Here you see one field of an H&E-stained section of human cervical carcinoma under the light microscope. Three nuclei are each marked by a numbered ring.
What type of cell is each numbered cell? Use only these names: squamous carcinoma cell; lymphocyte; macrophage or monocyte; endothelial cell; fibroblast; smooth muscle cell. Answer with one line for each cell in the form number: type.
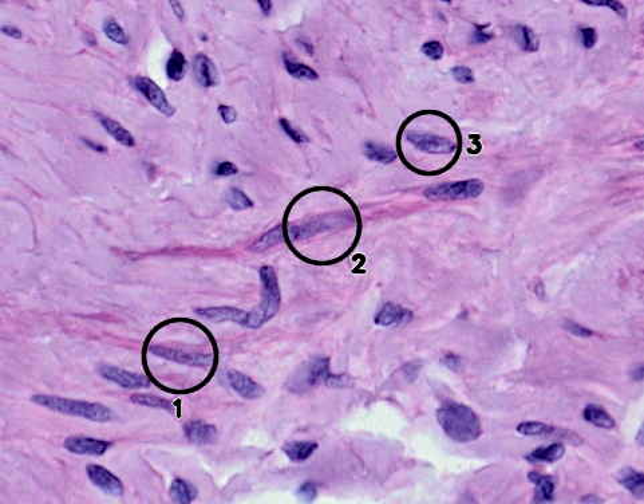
1: smooth muscle cell
2: smooth muscle cell
3: fibroblast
